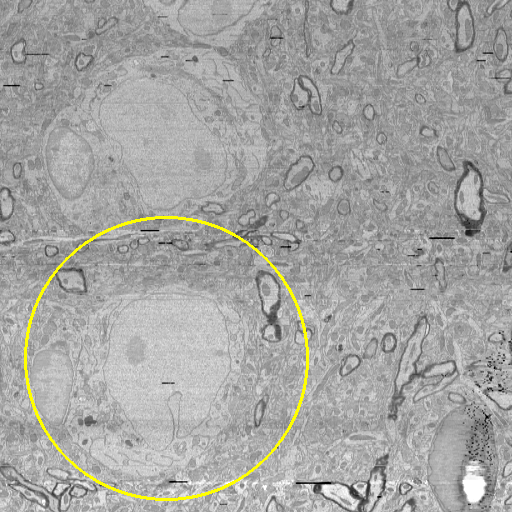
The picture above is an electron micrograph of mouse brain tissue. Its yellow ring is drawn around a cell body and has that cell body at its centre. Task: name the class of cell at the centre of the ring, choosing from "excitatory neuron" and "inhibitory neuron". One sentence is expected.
The ring surrounds the body of an excitatory neuron.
